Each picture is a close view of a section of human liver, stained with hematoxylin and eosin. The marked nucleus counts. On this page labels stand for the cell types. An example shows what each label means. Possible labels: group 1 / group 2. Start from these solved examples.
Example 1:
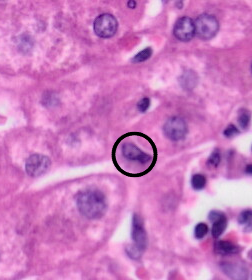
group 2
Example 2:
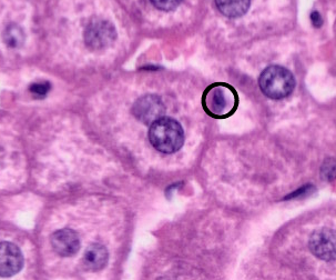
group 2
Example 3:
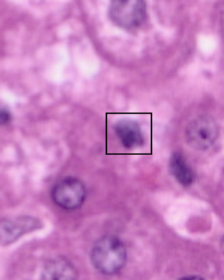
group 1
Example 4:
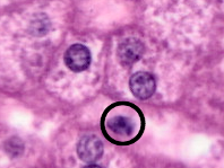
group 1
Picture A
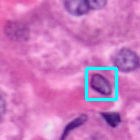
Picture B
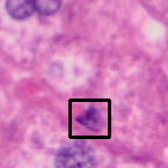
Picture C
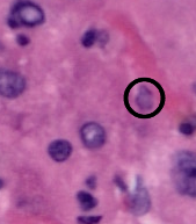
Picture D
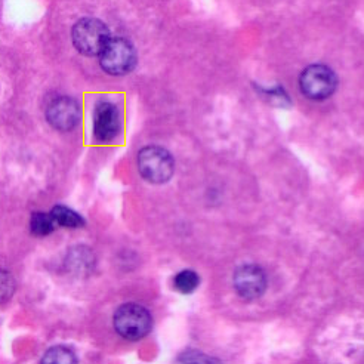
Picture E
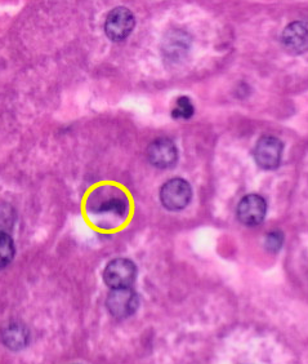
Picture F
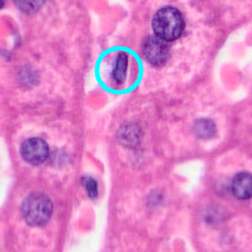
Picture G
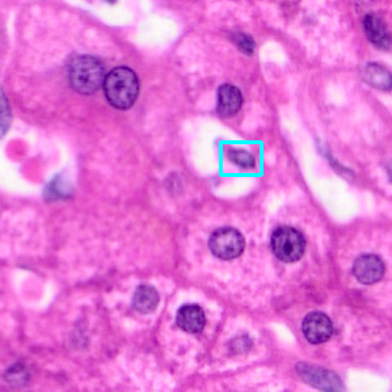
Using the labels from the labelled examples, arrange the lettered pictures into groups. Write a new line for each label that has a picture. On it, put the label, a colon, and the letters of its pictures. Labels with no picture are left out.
group 1: B, E
group 2: A, C, D, F, G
